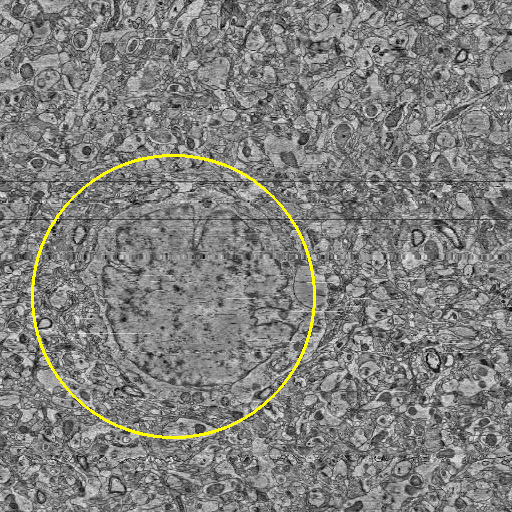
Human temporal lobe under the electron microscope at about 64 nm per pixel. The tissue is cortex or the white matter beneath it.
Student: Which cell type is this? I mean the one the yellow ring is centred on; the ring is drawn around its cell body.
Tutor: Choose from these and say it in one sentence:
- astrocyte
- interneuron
The cell the ring is centred on is an interneuron.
